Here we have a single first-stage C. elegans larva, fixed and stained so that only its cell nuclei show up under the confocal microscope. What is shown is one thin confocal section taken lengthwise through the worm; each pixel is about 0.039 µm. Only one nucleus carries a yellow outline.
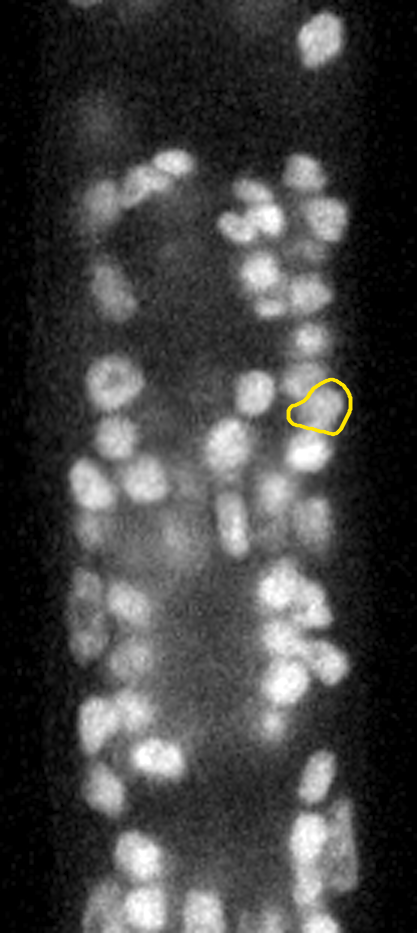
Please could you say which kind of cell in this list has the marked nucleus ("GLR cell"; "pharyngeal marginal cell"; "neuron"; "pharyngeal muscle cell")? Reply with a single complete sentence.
The nucleus comes from a neuron.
